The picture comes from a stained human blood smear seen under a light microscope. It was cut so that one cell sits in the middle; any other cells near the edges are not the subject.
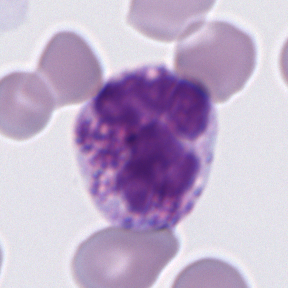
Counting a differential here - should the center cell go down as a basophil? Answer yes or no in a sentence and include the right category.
Yes, the cell shown at the crop's centre is a basophil.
